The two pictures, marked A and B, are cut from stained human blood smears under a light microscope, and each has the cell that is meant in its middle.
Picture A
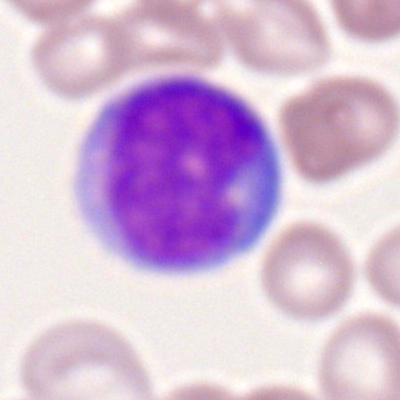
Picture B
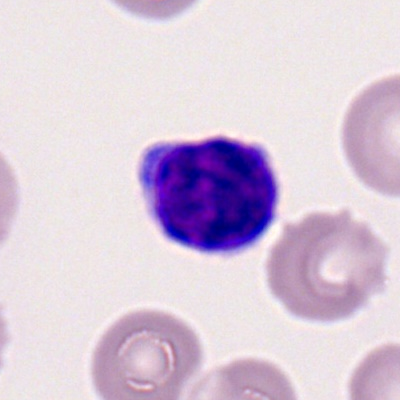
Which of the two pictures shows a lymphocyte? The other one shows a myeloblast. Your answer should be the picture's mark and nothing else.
B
